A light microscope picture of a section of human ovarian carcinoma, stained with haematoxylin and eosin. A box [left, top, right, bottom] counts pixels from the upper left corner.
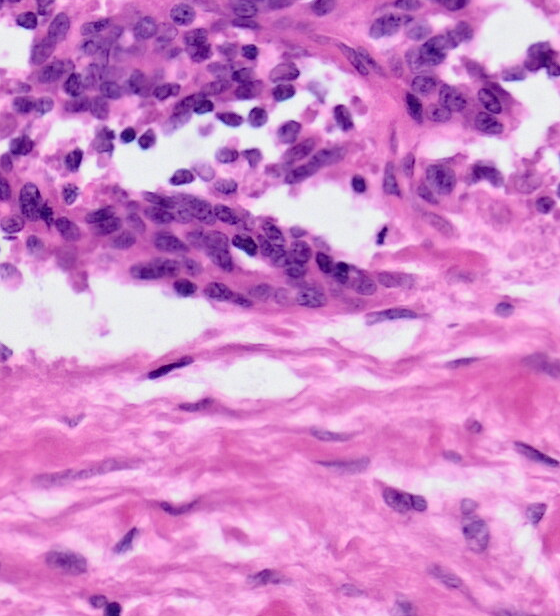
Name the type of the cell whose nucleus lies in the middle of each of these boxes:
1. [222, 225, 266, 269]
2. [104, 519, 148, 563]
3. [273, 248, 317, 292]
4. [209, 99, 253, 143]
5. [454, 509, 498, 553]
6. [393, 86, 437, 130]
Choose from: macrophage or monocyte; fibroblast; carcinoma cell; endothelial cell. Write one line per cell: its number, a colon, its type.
1: carcinoma cell
2: fibroblast
3: carcinoma cell
4: carcinoma cell
5: fibroblast
6: carcinoma cell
